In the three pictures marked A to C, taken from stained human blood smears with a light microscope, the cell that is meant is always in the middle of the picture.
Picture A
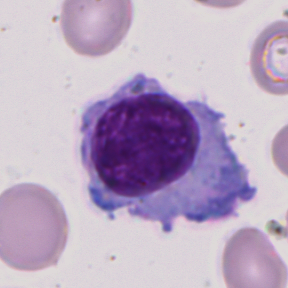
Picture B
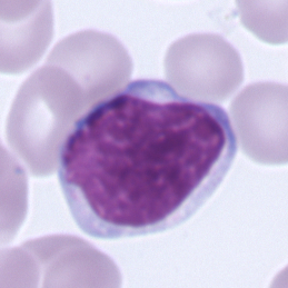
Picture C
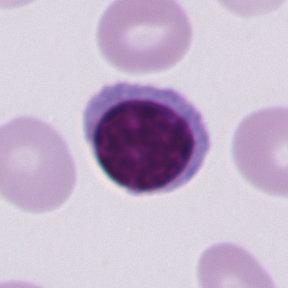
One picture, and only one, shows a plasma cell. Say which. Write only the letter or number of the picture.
A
